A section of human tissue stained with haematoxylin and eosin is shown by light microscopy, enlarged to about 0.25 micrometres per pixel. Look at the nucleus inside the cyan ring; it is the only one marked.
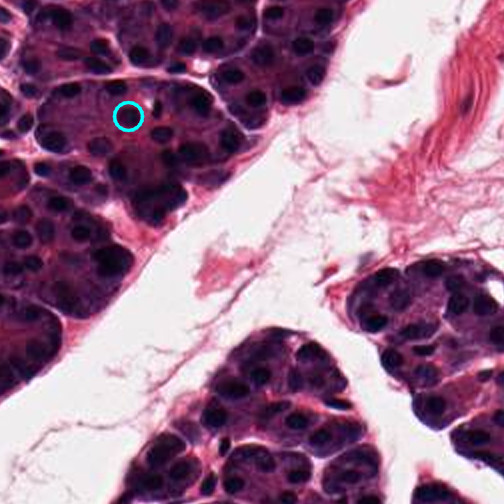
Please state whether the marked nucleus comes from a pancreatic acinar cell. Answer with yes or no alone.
yes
